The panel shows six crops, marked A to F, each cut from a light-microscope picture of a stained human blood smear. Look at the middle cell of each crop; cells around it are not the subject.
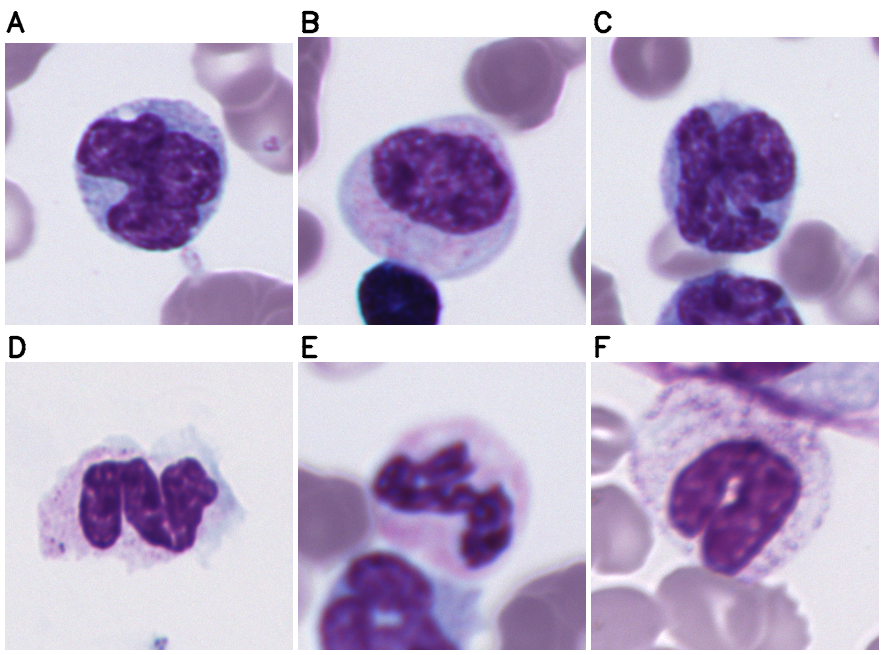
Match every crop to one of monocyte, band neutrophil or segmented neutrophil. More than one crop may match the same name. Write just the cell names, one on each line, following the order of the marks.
monocyte
band neutrophil
monocyte
segmented neutrophil
segmented neutrophil
segmented neutrophil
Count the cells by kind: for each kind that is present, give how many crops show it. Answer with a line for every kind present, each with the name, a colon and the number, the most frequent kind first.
segmented neutrophil: 3
monocyte: 2
band neutrophil: 1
